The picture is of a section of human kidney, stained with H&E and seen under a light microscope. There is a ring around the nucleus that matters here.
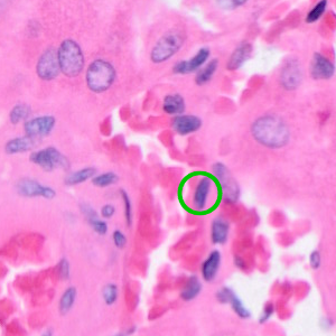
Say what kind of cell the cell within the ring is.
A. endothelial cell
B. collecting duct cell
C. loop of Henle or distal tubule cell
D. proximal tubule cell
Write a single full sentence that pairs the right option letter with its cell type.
With the cell within the ring being an endothelial cell, option A is correct.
